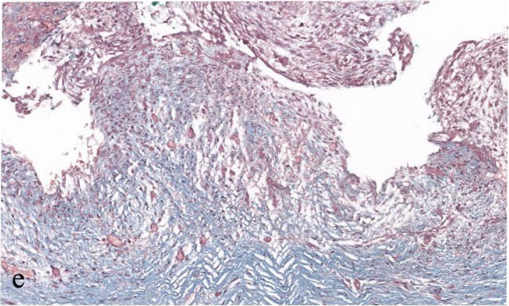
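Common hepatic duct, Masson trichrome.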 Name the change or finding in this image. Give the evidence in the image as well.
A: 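The luminal surface has no epithelial lining. Loosely arranged, separated fibres and cells lie near the lumen.
Conclusion: fibro-edematous changes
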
